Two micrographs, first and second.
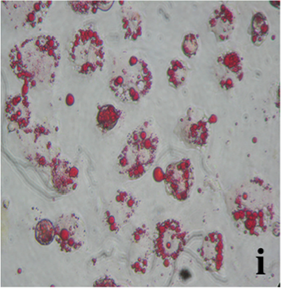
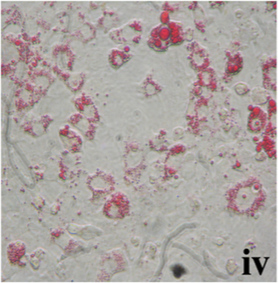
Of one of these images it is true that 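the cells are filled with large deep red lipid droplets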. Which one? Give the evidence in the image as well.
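Second image: mostly small, paler pink droplets in rings, few large droplets. First image: many cells packed with large, deep red droplets.
The first image.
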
